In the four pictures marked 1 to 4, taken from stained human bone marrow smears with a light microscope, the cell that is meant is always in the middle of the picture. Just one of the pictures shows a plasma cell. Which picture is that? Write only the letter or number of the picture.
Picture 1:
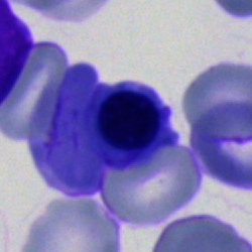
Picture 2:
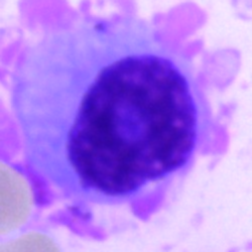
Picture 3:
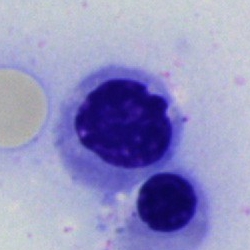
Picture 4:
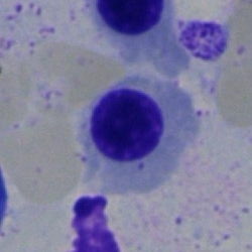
2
